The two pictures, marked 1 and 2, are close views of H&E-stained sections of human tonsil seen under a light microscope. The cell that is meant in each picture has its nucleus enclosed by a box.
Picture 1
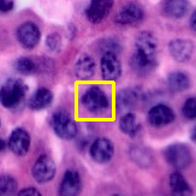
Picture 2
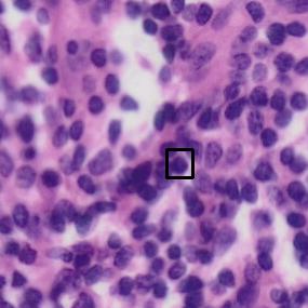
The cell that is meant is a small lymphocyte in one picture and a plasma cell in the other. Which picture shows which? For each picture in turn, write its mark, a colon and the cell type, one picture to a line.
1: plasma cell
2: small lymphocyte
